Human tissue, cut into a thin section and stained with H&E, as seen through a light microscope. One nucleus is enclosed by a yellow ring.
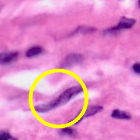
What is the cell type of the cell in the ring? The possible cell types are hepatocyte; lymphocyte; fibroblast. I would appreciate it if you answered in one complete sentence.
Labelled by cell type, the cell in the ring is a fibroblast.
